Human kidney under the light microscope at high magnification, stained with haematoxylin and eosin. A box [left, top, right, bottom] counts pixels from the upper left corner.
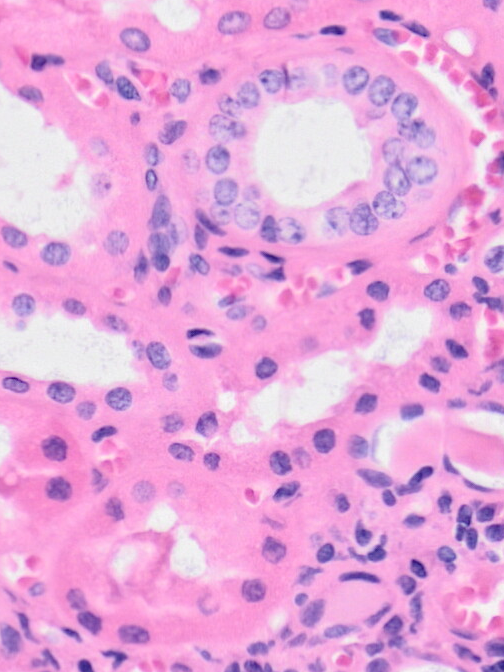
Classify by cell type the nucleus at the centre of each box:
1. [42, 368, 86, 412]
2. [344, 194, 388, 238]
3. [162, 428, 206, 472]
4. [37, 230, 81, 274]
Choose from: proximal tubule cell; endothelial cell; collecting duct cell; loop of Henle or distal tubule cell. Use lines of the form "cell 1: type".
cell 1: loop of Henle or distal tubule cell
cell 2: collecting duct cell
cell 3: loop of Henle or distal tubule cell
cell 4: loop of Henle or distal tubule cell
